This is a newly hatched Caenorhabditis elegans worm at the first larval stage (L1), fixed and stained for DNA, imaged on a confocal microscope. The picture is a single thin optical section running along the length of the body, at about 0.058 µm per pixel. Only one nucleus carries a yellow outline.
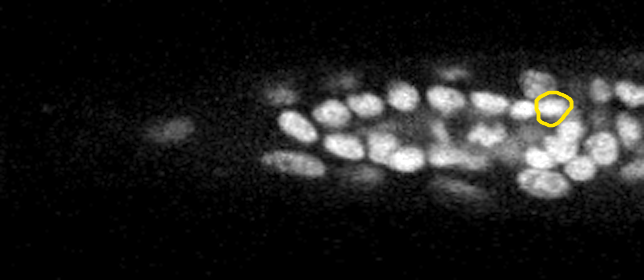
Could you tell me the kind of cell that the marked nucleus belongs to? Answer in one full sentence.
The nucleus comes from a glial cell (sheath or socket).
